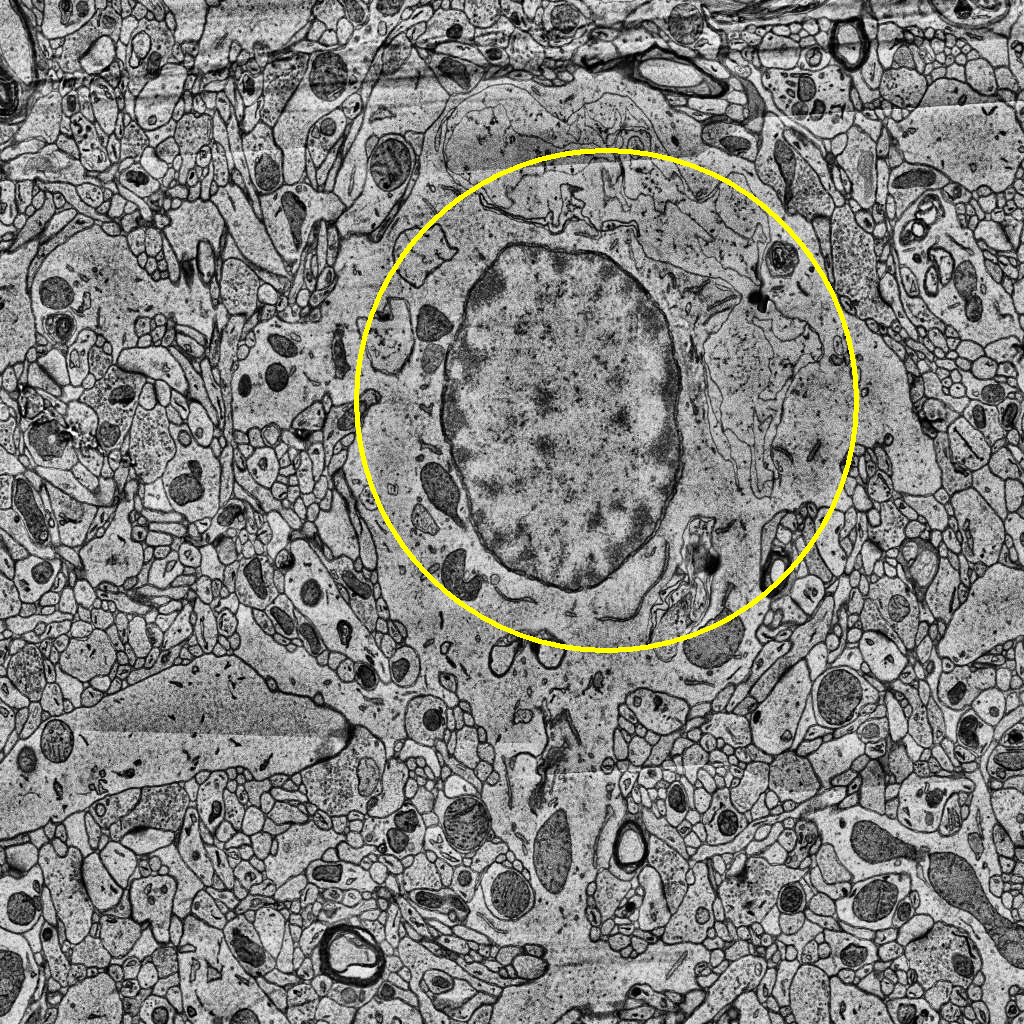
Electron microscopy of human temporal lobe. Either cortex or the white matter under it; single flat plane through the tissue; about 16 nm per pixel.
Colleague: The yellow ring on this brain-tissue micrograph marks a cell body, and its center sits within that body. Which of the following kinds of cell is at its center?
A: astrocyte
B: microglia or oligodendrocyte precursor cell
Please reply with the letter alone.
A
